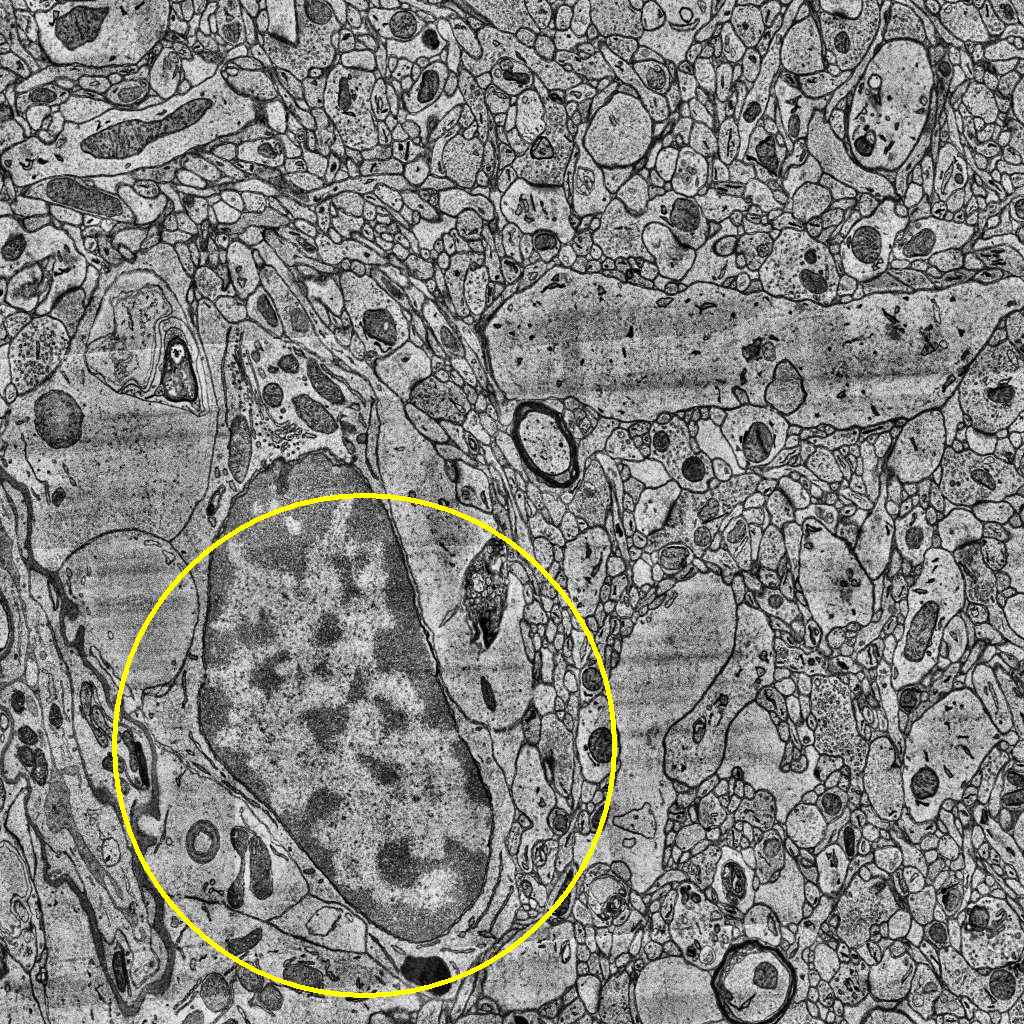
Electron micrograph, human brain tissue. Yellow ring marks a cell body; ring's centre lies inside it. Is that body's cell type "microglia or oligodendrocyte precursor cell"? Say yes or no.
yes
